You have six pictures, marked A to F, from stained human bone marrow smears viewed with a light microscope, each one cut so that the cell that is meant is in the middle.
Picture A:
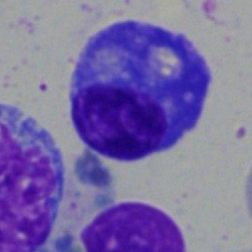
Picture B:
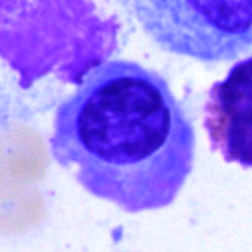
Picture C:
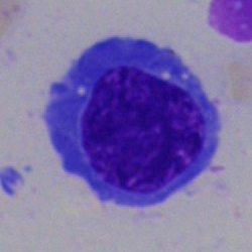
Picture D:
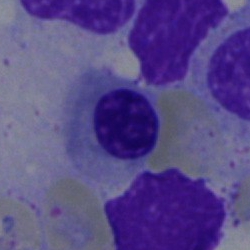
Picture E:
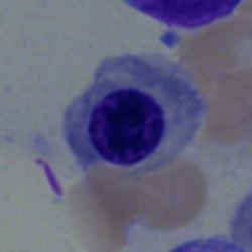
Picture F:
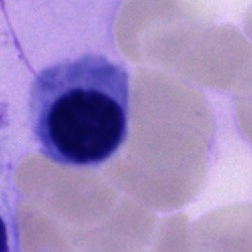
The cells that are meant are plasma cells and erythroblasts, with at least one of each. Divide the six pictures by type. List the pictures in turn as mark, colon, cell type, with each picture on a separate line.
A: plasma cell
B: plasma cell
C: erythroblast
D: erythroblast
E: erythroblast
F: erythroblast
